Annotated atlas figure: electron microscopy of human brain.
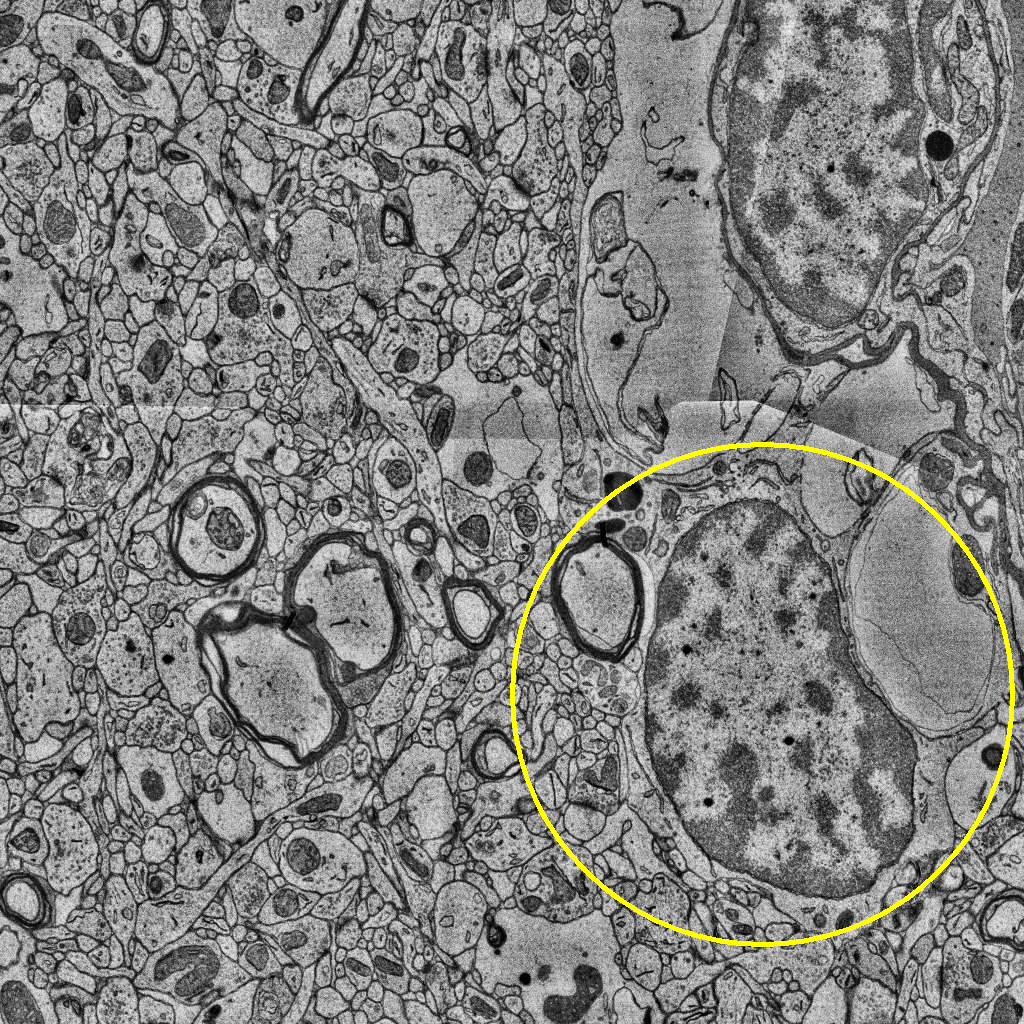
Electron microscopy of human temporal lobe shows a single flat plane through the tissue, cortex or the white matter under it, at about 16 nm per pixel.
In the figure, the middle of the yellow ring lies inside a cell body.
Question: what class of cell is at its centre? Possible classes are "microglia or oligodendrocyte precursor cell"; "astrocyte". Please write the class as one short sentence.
The yellow ring's centre lies in a microglial cell or oligodendrocyte precursor cell.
